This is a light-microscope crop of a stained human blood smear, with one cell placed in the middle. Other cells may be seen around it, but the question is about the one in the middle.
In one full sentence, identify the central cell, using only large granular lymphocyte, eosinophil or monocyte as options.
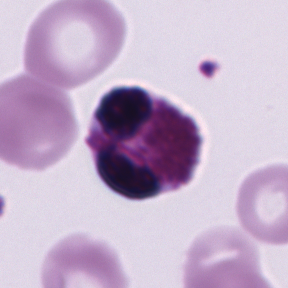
The cell in the exact centre of the crop is an eosinophil.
